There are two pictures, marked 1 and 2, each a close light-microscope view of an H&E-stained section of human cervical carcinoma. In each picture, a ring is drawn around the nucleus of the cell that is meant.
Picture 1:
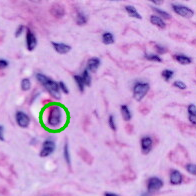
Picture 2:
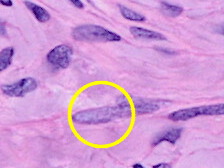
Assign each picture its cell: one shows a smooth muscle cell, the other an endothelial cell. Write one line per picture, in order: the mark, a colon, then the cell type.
1: endothelial cell
2: smooth muscle cell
